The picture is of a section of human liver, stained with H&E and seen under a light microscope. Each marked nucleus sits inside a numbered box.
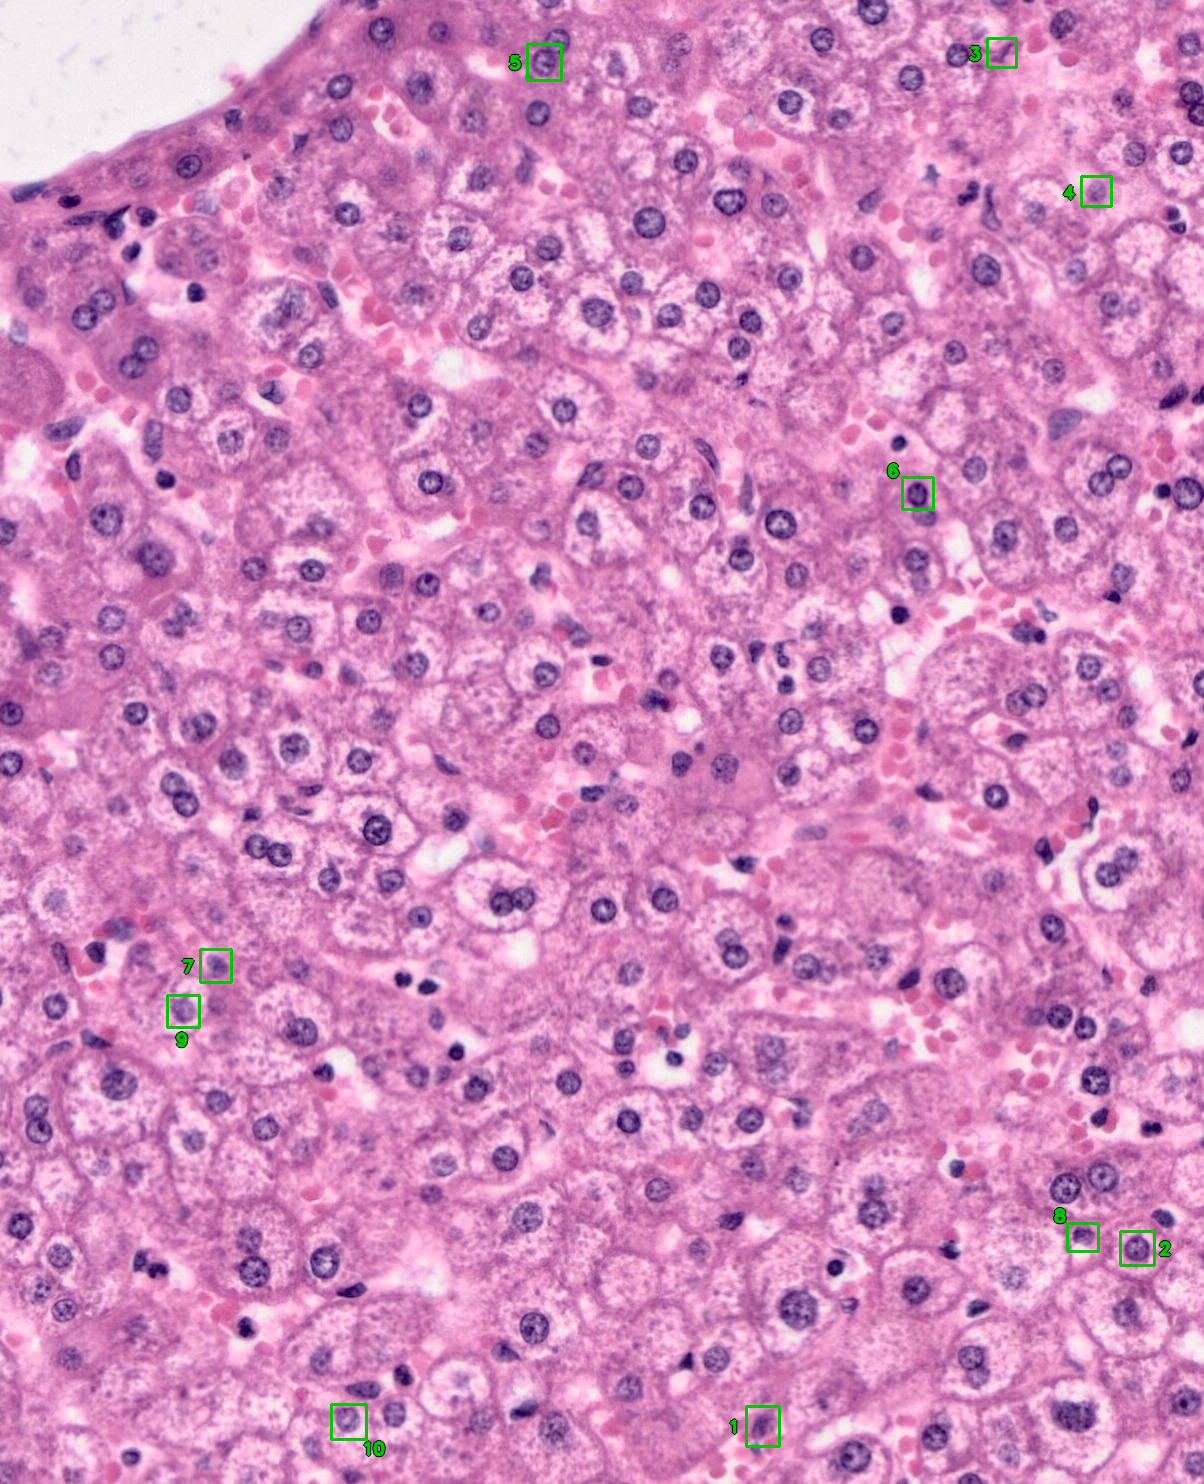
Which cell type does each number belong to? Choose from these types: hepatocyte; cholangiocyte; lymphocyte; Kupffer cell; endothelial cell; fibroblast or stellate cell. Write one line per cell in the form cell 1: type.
cell 1: Kupffer cell
cell 2: hepatocyte
cell 3: endothelial cell
cell 4: hepatocyte
cell 5: hepatocyte
cell 6: hepatocyte
cell 7: endothelial cell
cell 8: endothelial cell
cell 9: hepatocyte
cell 10: hepatocyte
